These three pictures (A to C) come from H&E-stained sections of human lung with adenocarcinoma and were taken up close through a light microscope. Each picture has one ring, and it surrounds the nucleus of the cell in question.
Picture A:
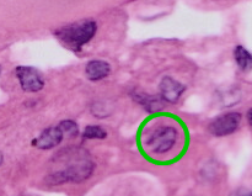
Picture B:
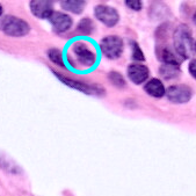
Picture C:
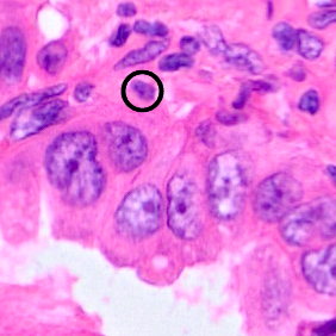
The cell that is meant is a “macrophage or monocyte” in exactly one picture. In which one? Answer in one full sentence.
It is picture A that shows the “macrophage or monocyte”.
